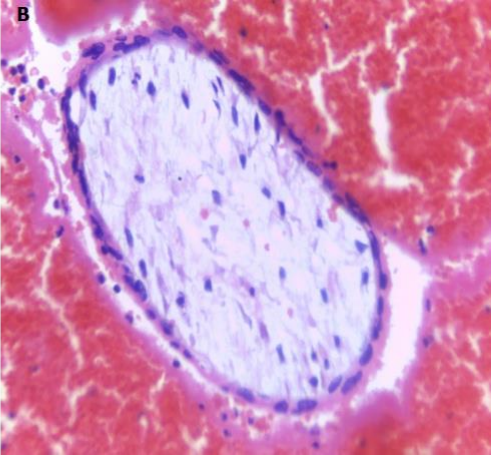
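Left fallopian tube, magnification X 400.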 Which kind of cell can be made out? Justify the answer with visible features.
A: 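A continuous thin layer of dark, crowded nuclei lines the outer surface of the oval. This rim sits between the pale core and the surrounding blood. The answer: surface trophoblast.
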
